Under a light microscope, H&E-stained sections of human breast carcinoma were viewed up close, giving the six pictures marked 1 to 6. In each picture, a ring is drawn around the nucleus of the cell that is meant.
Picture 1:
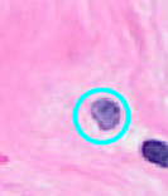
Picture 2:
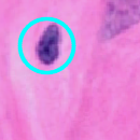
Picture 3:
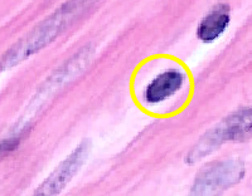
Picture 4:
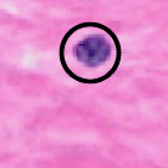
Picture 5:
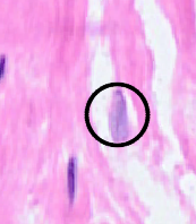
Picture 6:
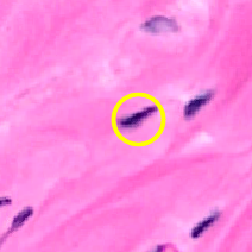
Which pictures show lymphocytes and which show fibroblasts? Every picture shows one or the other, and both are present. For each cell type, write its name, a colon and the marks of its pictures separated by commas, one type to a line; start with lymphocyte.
lymphocyte: 1, 2, 3, 4
fibroblast: 5, 6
